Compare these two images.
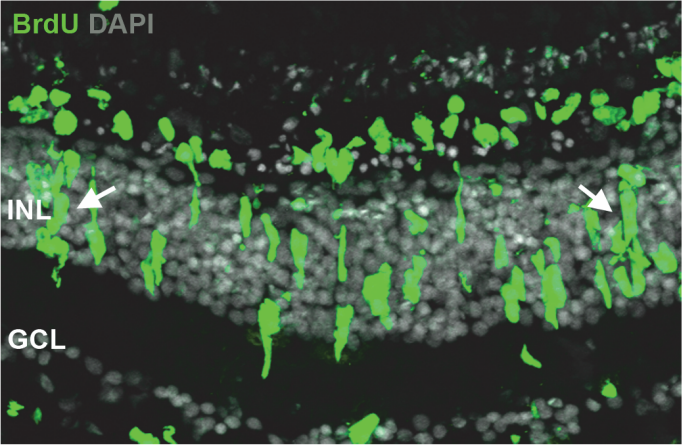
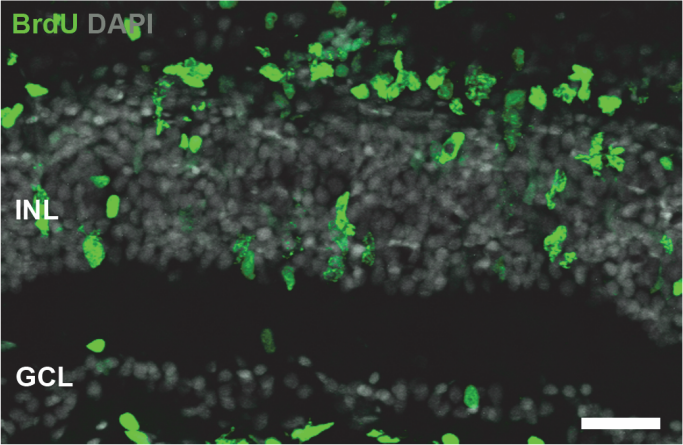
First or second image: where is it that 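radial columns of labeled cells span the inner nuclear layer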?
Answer: The first image.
